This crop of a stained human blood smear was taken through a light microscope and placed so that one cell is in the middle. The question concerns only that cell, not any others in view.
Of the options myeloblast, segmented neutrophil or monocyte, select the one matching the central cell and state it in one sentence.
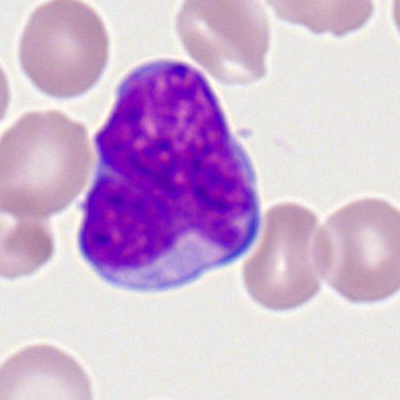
Occupying the centre of the crop is a myeloblast.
